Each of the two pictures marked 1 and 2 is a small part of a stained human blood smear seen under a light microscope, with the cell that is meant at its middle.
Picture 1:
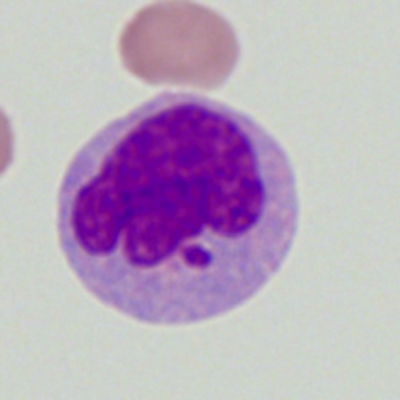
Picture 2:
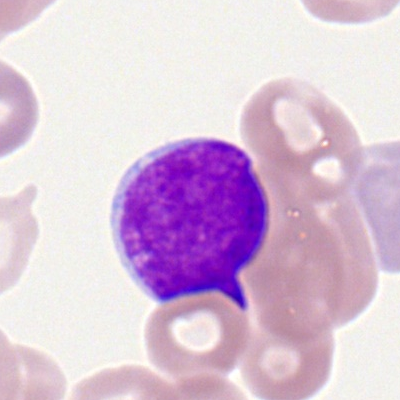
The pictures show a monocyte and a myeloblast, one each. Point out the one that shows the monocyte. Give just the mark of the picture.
1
